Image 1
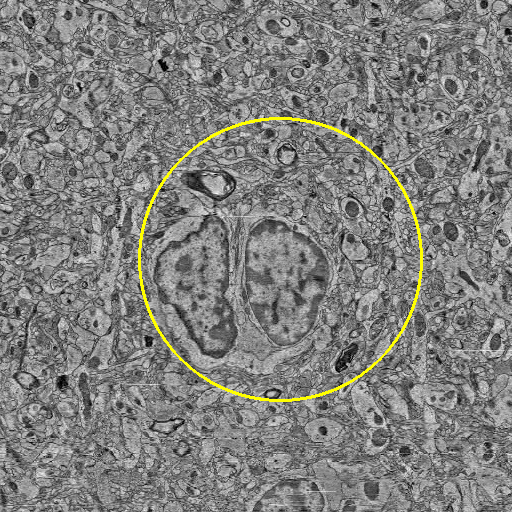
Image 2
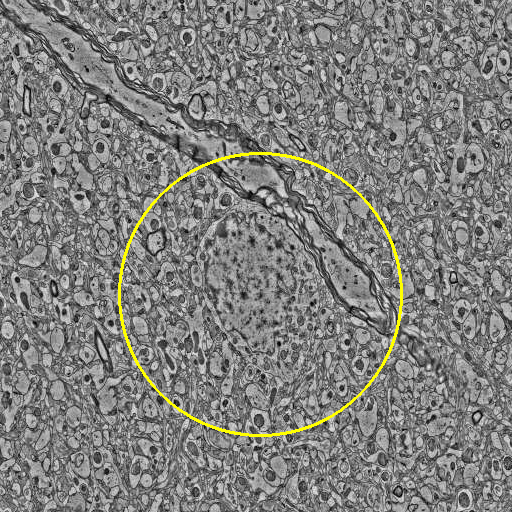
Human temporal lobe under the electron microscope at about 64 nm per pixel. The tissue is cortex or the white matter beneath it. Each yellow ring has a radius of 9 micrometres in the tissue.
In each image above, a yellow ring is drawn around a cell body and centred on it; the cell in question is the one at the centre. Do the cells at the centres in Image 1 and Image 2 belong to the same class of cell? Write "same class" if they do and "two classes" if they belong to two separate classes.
two classes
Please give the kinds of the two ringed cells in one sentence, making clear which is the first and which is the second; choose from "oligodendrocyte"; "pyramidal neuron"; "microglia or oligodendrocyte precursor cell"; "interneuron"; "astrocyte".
In the second picture the ringed cell is an interneuron; in the first it is a microglial cell or oligodendrocyte precursor cell.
